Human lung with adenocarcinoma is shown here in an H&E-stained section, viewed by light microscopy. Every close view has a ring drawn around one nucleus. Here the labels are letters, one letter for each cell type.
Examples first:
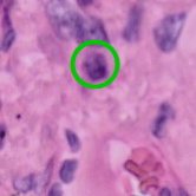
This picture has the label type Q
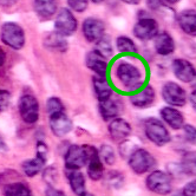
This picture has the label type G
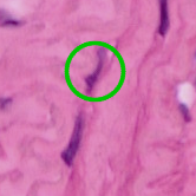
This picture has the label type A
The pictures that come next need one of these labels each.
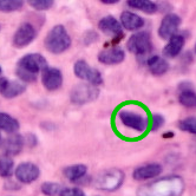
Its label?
type G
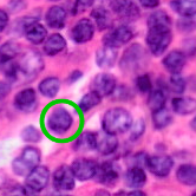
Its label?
type G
